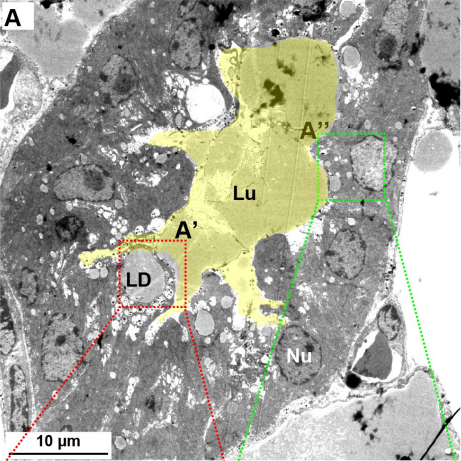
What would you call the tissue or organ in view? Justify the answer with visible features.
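Epithelial cells are arranged around a central yellow-painted lumen. Cells have large oval nuclei. A large rounded droplet bulges from a cell toward the lumen.
Conclusion: mammary gland alveoli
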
